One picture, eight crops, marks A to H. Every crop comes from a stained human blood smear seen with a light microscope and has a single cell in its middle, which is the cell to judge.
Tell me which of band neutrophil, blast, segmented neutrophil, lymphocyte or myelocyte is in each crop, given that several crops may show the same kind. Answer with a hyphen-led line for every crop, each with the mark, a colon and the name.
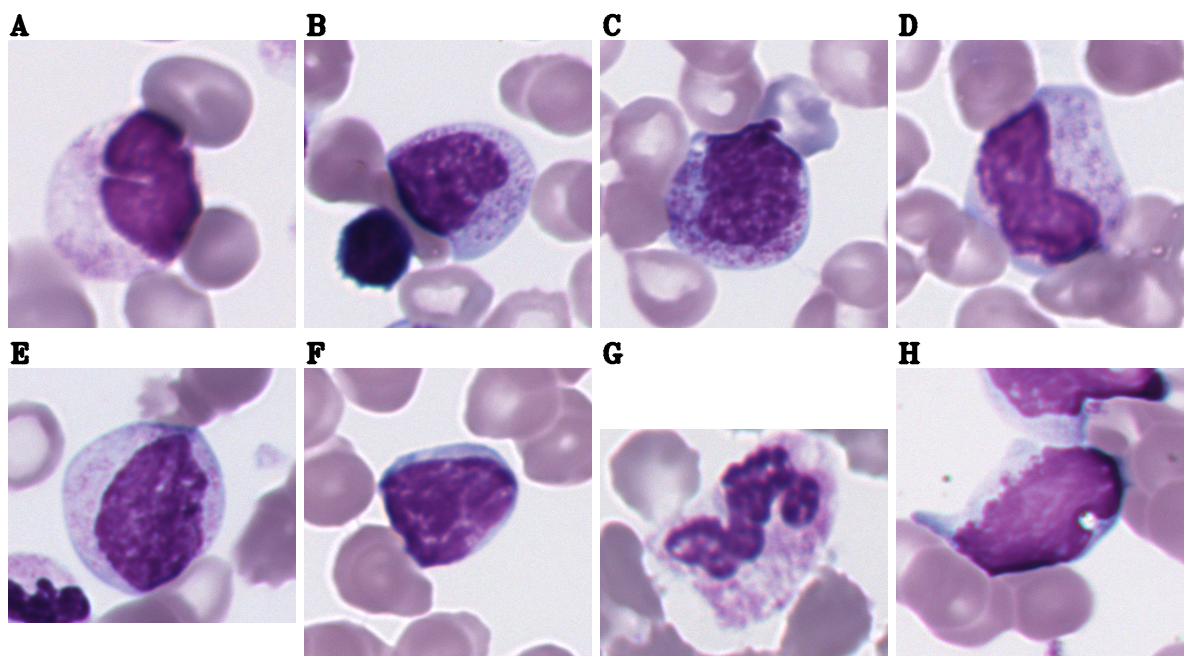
- A: band neutrophil
- B: myelocyte
- C: myelocyte
- D: myelocyte
- E: myelocyte
- F: lymphocyte
- G: segmented neutrophil
- H: lymphocyte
